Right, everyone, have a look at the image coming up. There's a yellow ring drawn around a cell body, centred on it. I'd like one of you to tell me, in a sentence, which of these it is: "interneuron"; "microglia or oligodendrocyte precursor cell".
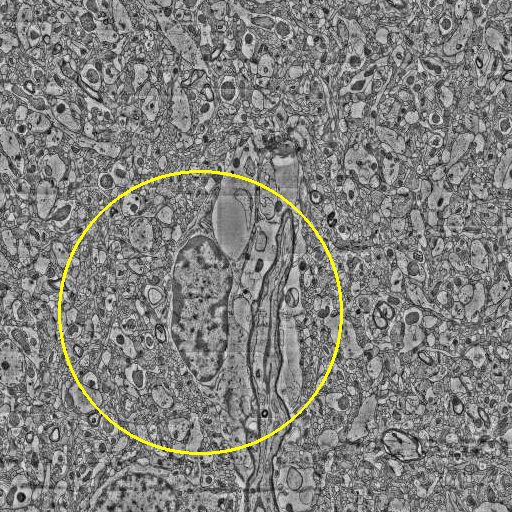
The yellow ring sits on a microglial cell or oligodendrocyte precursor cell.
